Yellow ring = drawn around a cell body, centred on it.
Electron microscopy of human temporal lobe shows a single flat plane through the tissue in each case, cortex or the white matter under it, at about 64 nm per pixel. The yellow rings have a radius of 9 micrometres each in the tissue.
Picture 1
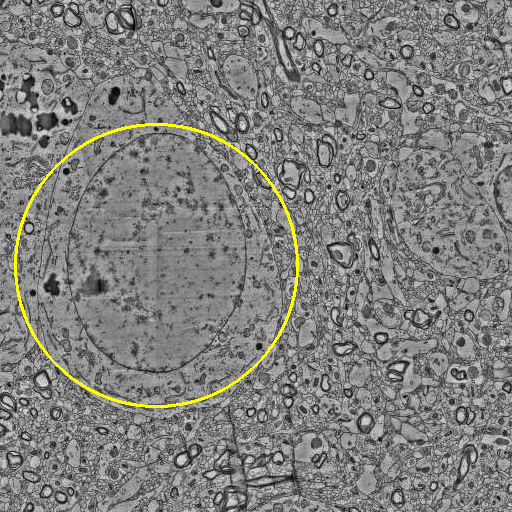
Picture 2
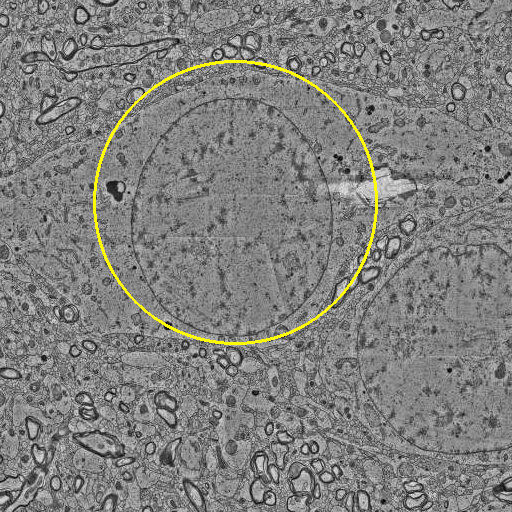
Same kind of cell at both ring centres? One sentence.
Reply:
Yes, they are the same kind of cell.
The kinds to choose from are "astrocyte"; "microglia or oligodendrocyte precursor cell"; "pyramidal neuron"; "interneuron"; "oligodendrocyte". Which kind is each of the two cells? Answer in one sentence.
Each of the ringed cells, first and second, is a pyramidal neuron.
